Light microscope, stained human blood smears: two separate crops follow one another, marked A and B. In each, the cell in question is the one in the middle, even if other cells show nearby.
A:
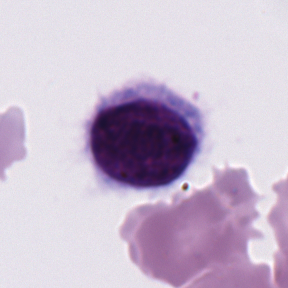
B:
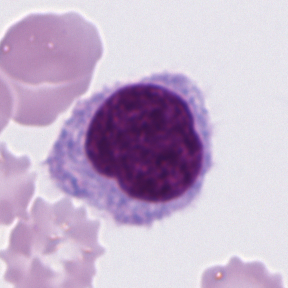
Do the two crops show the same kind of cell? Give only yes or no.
yes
